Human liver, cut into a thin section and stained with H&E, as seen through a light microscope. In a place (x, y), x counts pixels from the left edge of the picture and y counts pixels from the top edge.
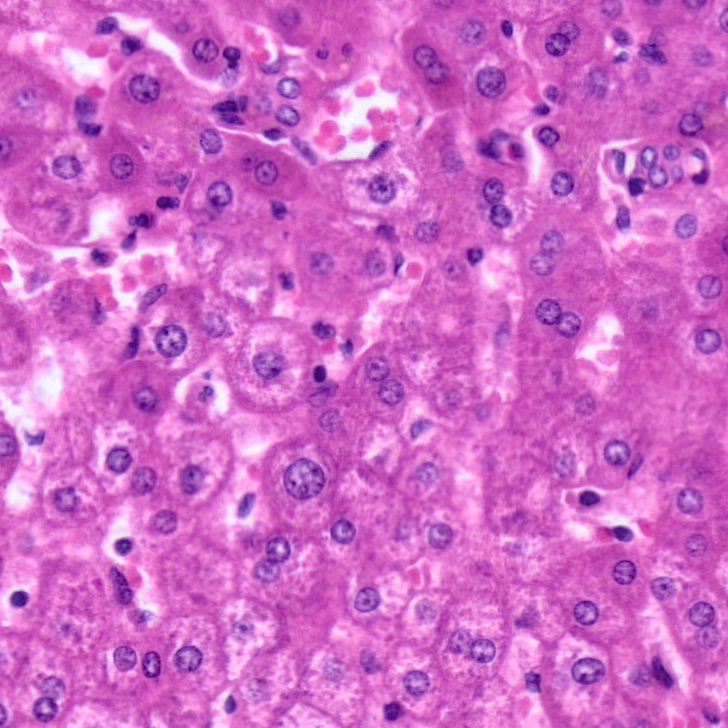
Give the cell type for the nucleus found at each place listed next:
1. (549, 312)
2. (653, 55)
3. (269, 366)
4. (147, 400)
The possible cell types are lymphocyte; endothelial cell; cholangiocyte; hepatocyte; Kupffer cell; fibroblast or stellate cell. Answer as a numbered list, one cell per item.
1. hepatocyte
2. fibroblast or stellate cell
3. hepatocyte
4. hepatocyte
